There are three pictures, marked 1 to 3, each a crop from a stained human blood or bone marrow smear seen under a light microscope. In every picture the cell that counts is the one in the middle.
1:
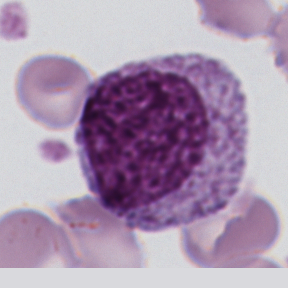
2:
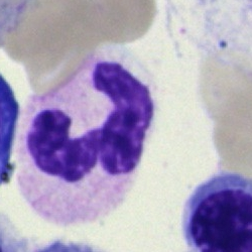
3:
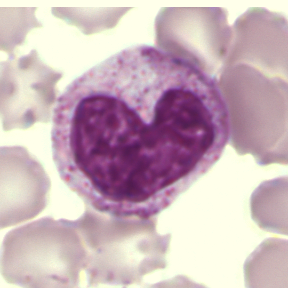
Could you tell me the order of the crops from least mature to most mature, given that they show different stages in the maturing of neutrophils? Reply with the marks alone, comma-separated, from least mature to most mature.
1, 3, 2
